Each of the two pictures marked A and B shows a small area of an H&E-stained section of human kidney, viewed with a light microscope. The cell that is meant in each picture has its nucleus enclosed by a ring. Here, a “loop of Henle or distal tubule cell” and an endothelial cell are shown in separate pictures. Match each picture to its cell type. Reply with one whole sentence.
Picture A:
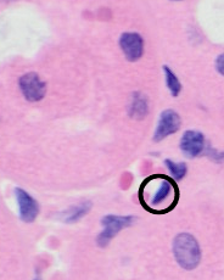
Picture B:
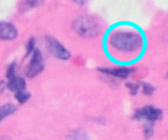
Picture B shows a “loop of Henle or distal tubule cell”, while picture A shows an endothelial cell.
